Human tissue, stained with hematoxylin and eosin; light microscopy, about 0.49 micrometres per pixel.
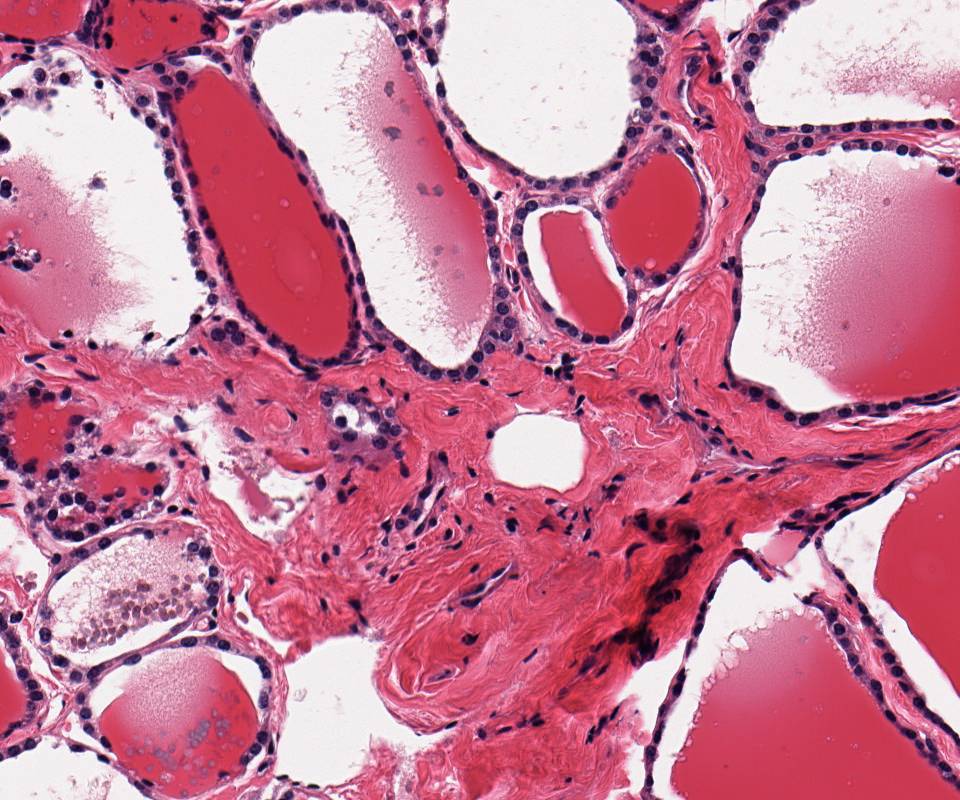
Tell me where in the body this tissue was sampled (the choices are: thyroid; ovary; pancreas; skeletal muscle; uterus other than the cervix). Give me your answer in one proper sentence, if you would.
The tissue shown was sampled from the thyroid.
